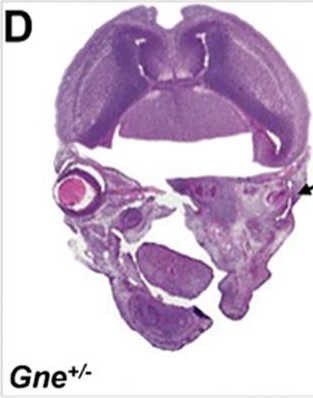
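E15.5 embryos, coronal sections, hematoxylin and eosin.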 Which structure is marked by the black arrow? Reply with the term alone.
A: Ocular remnant.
